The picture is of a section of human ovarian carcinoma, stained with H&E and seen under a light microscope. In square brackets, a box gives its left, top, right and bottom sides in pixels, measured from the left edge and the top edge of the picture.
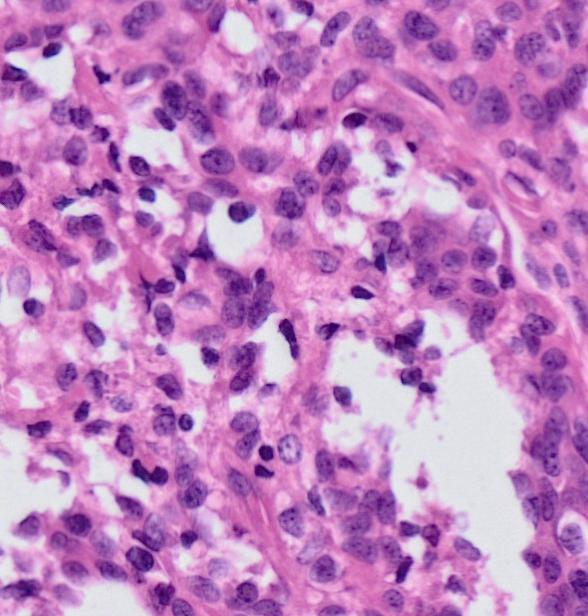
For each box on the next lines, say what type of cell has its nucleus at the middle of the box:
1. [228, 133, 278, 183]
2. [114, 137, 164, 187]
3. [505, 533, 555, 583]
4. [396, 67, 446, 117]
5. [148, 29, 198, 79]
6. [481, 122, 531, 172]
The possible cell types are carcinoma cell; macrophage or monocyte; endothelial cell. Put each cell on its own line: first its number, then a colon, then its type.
1: carcinoma cell
2: carcinoma cell
3: carcinoma cell
4: endothelial cell
5: carcinoma cell
6: macrophage or monocyte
